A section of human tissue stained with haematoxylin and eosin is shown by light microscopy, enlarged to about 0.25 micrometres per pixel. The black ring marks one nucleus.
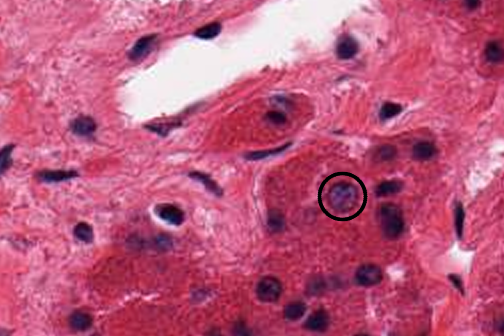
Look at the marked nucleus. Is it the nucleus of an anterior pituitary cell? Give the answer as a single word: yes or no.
yes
